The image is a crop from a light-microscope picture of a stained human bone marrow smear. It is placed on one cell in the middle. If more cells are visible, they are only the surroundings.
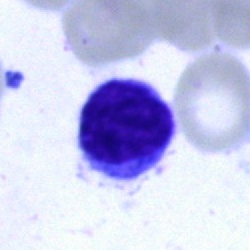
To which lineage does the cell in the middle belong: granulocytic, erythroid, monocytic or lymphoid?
lymphoid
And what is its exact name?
lymphocyte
